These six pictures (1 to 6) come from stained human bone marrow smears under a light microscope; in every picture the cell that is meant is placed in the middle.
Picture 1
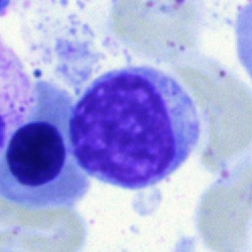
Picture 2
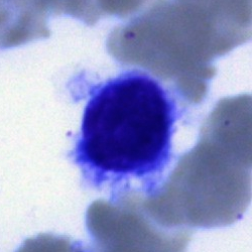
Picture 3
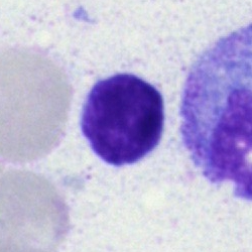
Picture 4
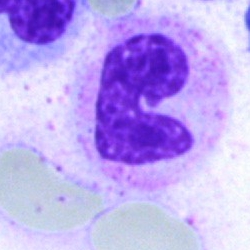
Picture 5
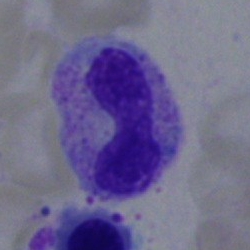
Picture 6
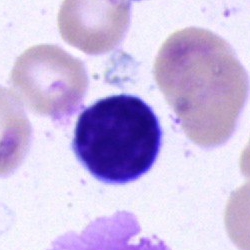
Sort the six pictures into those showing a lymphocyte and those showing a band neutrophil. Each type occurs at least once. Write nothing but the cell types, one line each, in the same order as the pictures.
lymphocyte
lymphocyte
lymphocyte
band neutrophil
band neutrophil
lymphocyte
